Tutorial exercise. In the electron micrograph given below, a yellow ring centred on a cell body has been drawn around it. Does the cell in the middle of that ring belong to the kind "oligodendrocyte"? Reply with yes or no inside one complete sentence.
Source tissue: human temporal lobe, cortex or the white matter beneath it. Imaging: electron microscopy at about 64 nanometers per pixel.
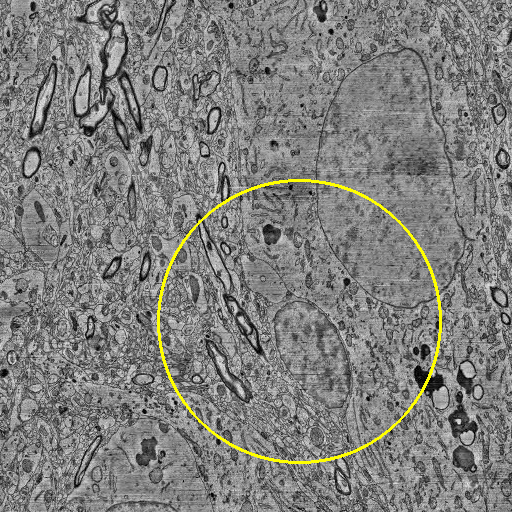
Yes, the cell at the centre of the ring in the picture is of that kind.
